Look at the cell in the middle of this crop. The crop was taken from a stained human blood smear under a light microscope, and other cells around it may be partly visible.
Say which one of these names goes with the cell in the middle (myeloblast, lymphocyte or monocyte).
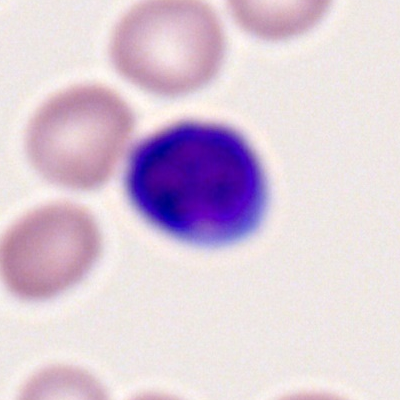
lymphocyte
